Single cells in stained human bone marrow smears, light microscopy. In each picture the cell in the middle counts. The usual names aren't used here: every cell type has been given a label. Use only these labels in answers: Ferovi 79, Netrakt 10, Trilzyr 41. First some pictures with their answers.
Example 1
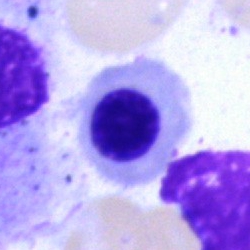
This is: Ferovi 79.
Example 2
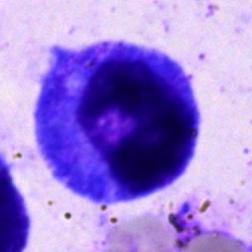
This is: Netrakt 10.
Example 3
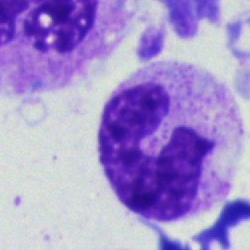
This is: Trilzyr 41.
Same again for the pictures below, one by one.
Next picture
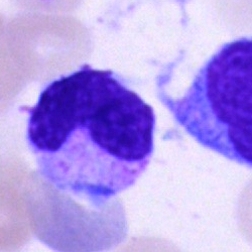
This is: Trilzyr 41.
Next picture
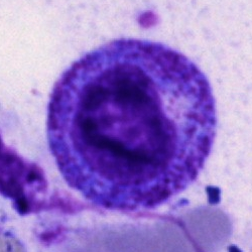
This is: Netrakt 10.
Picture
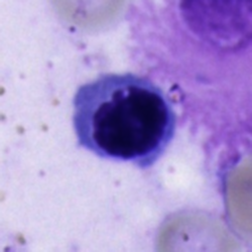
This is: Ferovi 79.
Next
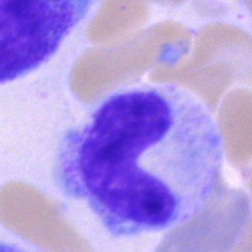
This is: Trilzyr 41.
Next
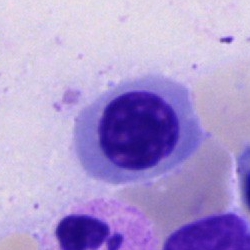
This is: Ferovi 79.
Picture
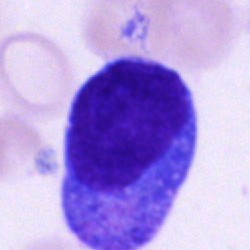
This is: Netrakt 10.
